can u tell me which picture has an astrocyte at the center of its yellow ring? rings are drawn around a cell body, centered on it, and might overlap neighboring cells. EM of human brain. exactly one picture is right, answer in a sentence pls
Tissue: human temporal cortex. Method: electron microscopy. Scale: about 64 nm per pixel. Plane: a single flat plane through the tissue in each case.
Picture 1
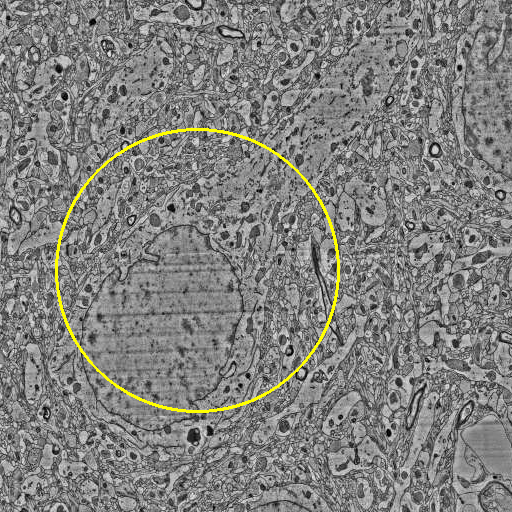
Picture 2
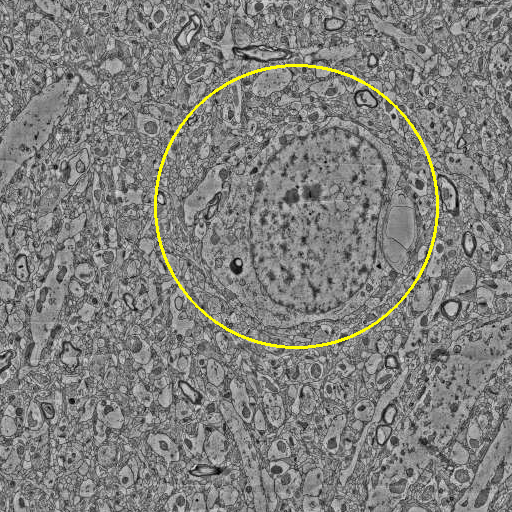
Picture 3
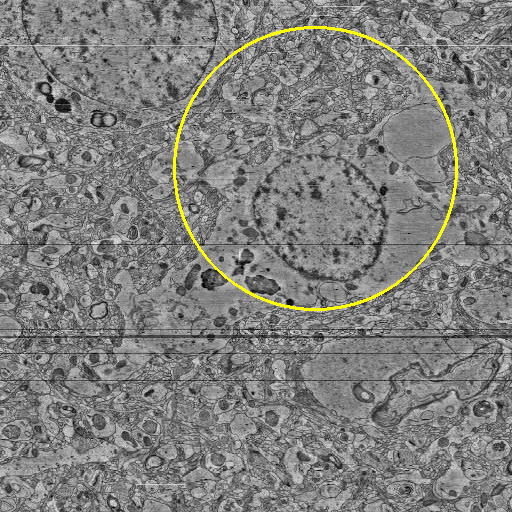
Picture 3 is the one.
